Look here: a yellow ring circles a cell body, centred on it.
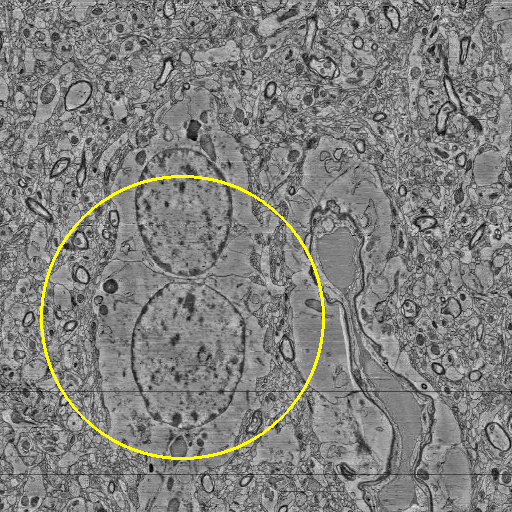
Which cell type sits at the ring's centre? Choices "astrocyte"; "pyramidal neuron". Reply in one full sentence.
The cell at the centre of the yellow ring in the picture is an astrocyte.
